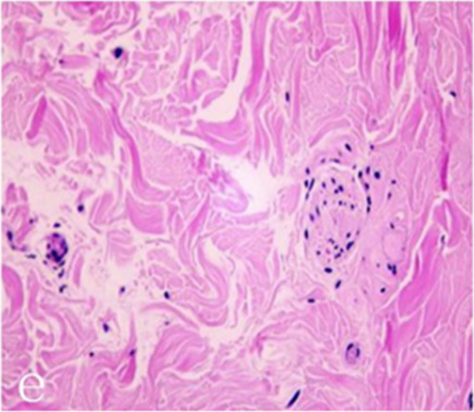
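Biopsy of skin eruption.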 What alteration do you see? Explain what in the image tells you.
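Thick, wavy pink fibre bundles fill most of the field. Few scattered dark nuclei lie between the fibre bundles. Small clusters of nuclei sit around small vessel-like spaces. On this evidence: hyperplasia and collagen of dermal fibrous tissue.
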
